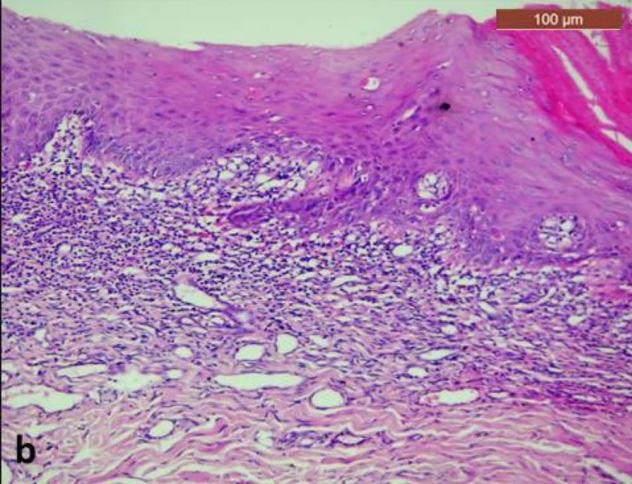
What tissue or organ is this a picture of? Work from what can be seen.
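A thick, many-layered epithelium of flattened-to-polygonal cells covers the surface. A pink keratin layer lies at the upper right surface.
Hence: stratified squamous epithelium.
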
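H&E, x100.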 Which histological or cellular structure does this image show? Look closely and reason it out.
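A dense band of small dark round nuclei lies just beneath the epithelium. Below the band the connective tissue is looser with vessels. So: sub-epithelial lymphocytic band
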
